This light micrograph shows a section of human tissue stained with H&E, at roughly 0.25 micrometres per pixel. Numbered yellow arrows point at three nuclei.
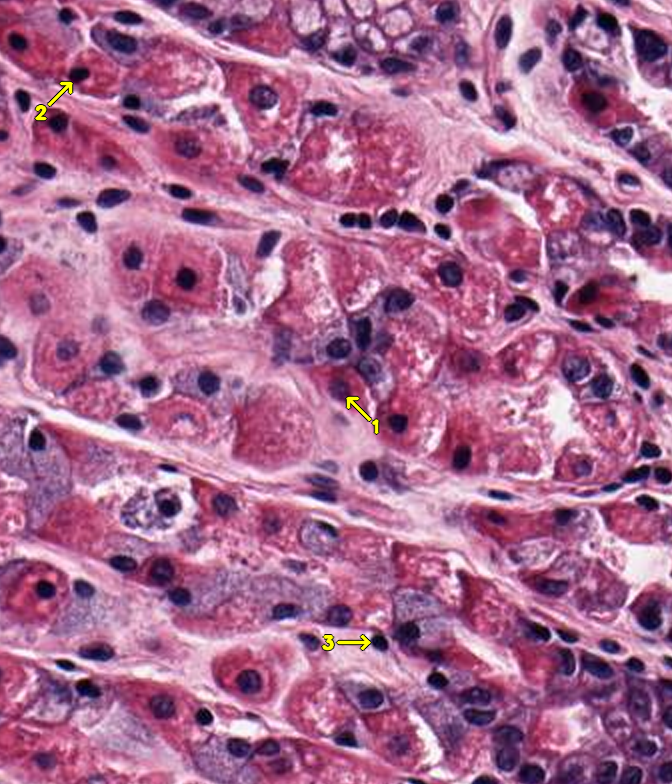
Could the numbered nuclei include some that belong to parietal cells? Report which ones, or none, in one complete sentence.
Nuclei 1 and 2 are in each case nuclei of parietal cells.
